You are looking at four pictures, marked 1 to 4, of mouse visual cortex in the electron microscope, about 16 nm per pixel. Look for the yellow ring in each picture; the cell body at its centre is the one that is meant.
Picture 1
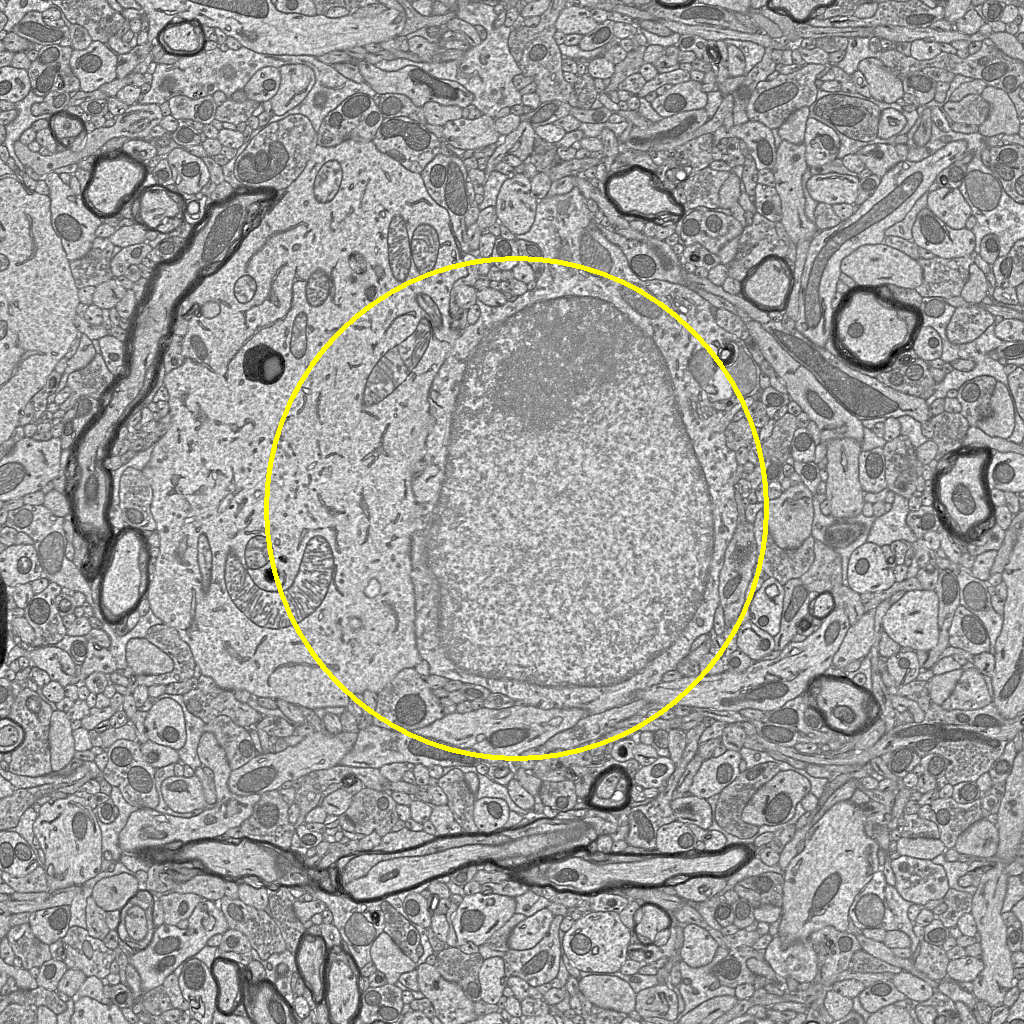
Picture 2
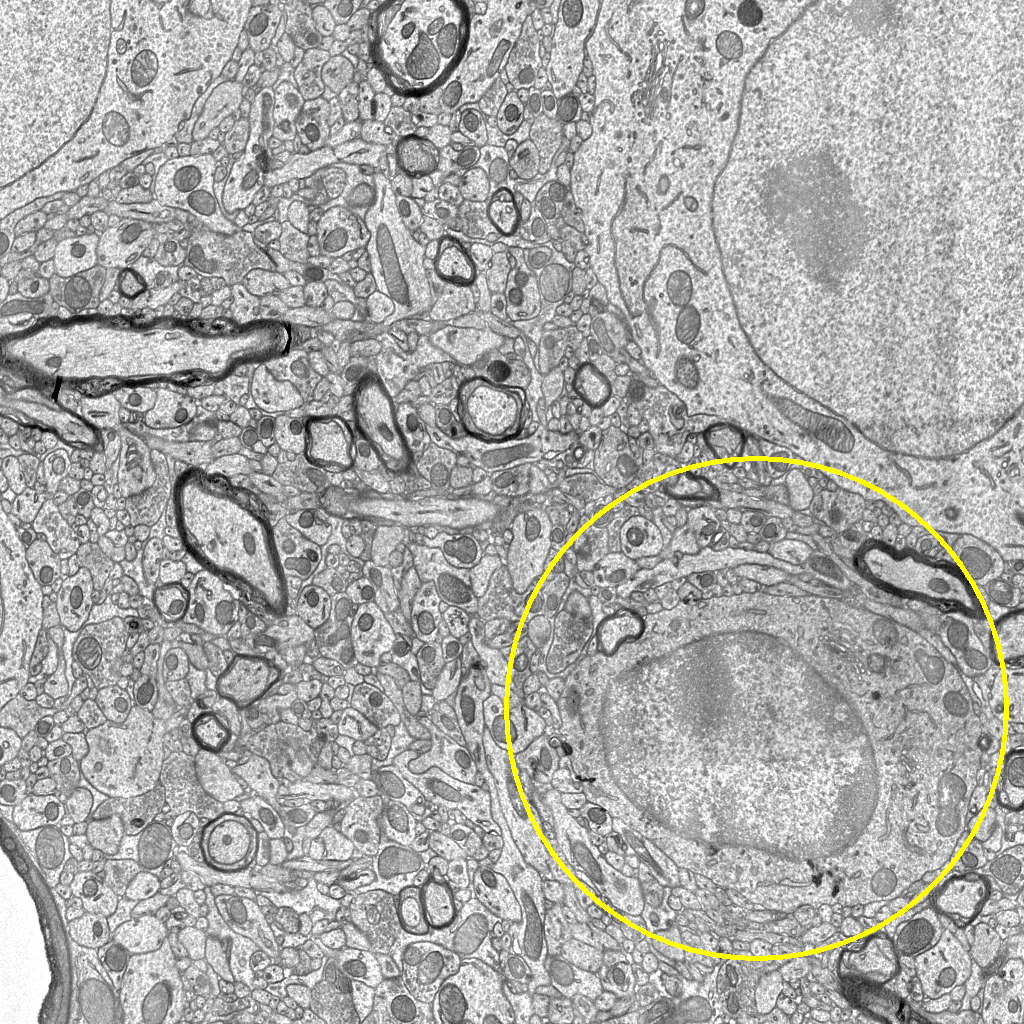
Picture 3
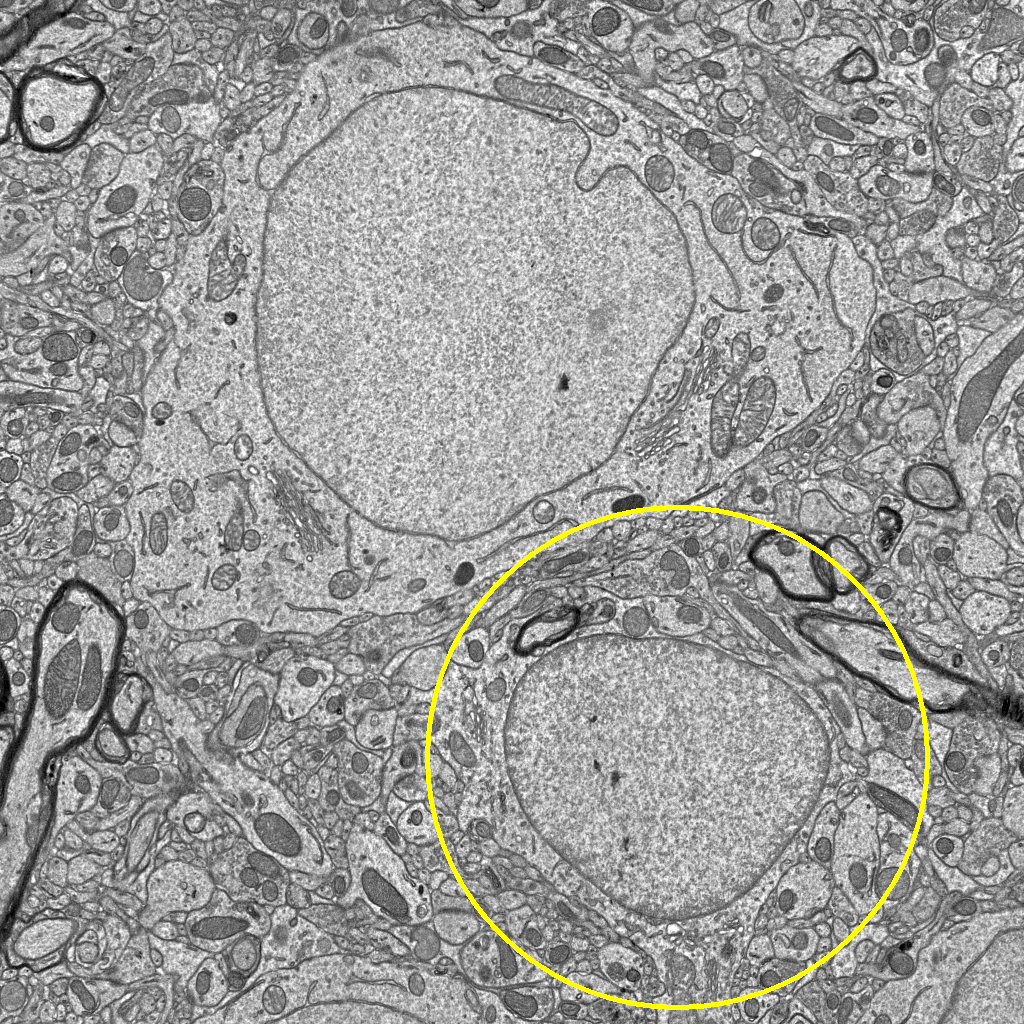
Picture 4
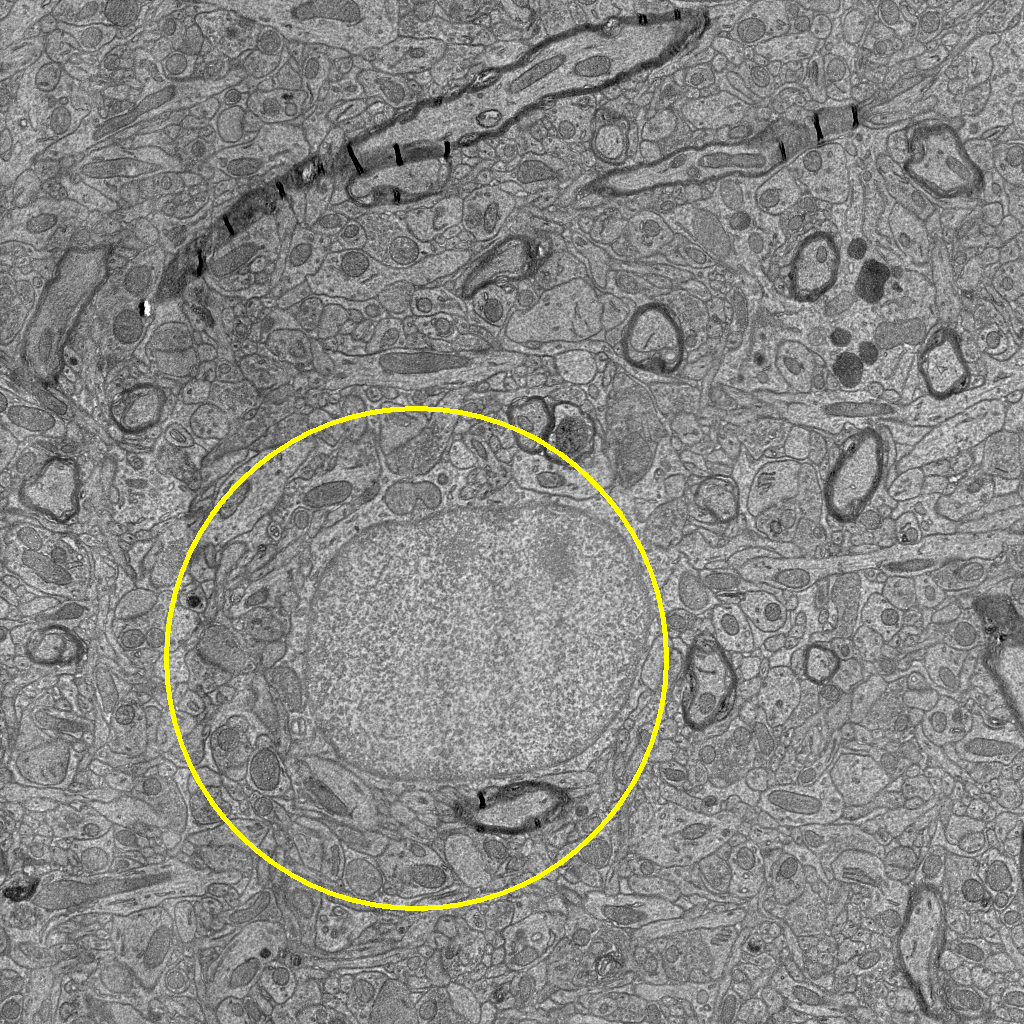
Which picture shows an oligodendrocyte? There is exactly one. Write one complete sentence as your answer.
It is picture 2 that shows the oligodendrocyte.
